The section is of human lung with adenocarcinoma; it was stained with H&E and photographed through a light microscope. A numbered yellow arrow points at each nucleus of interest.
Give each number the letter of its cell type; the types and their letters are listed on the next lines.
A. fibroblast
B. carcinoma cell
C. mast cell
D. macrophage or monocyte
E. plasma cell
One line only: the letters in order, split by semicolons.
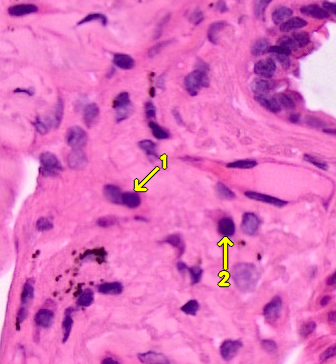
C; E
